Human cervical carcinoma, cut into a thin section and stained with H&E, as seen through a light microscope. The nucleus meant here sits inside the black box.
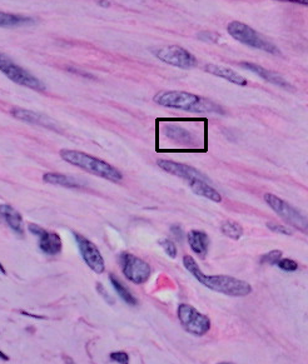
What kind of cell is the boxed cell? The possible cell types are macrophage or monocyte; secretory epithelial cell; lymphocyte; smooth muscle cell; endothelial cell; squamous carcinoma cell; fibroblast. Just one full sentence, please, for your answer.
In the context of this tissue, the boxed cell is a smooth muscle cell.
